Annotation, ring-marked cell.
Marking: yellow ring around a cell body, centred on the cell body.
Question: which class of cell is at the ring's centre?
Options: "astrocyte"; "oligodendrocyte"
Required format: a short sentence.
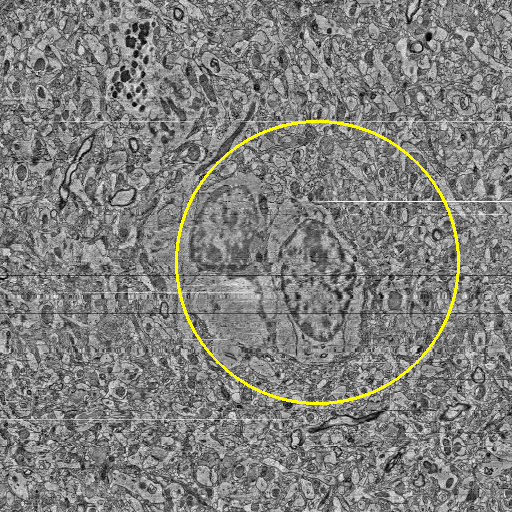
At the ring's centre is an astrocyte.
